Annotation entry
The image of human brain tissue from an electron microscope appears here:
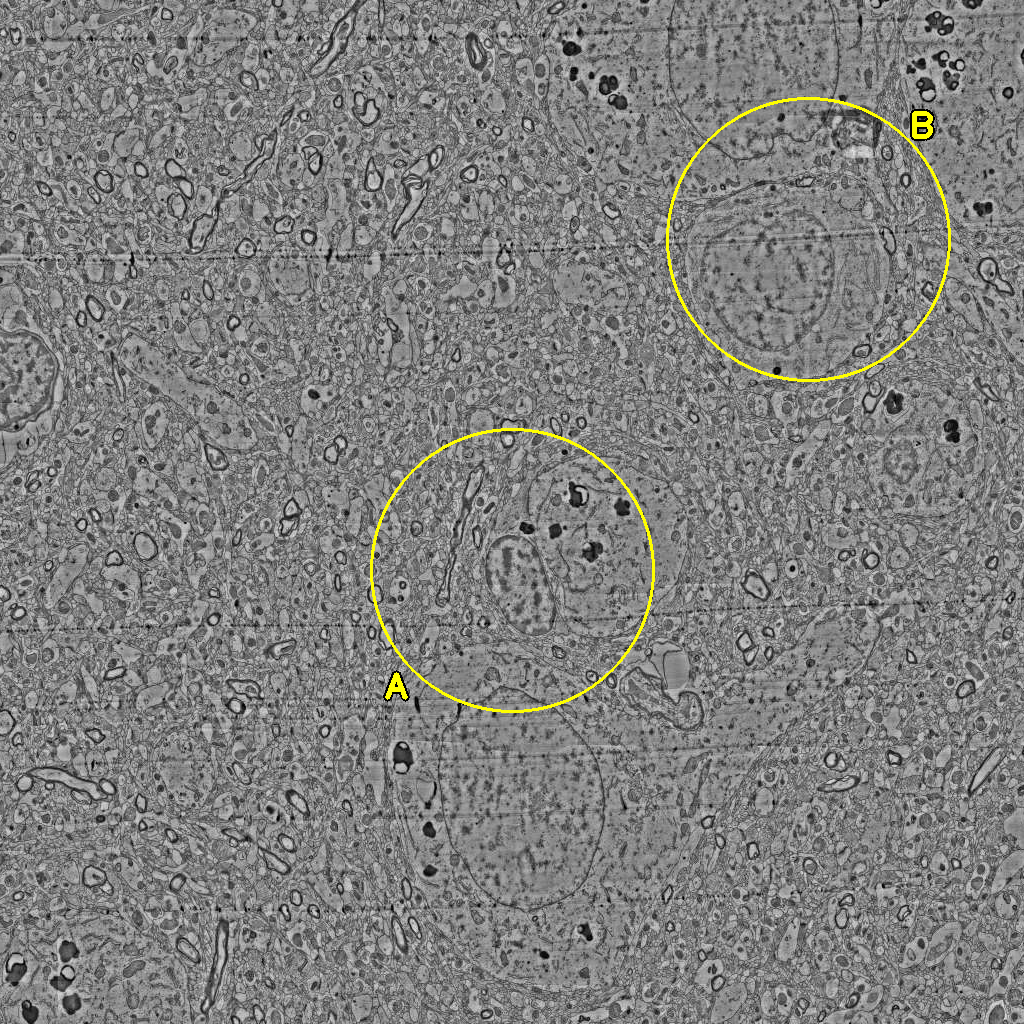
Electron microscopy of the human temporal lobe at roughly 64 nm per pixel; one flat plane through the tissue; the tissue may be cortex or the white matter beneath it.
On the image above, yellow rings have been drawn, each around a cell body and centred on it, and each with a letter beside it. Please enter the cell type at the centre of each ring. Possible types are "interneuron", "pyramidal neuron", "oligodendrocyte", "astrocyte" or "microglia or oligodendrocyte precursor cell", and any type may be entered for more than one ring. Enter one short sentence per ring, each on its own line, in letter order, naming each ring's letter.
The cell that ring A is centred on is a microglial cell or oligodendrocyte precursor cell.
The cell that ring B is centred on is an interneuron.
